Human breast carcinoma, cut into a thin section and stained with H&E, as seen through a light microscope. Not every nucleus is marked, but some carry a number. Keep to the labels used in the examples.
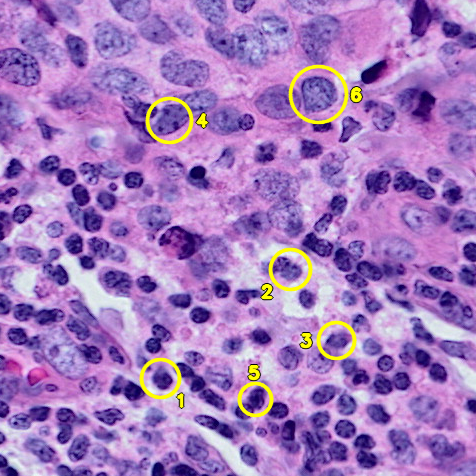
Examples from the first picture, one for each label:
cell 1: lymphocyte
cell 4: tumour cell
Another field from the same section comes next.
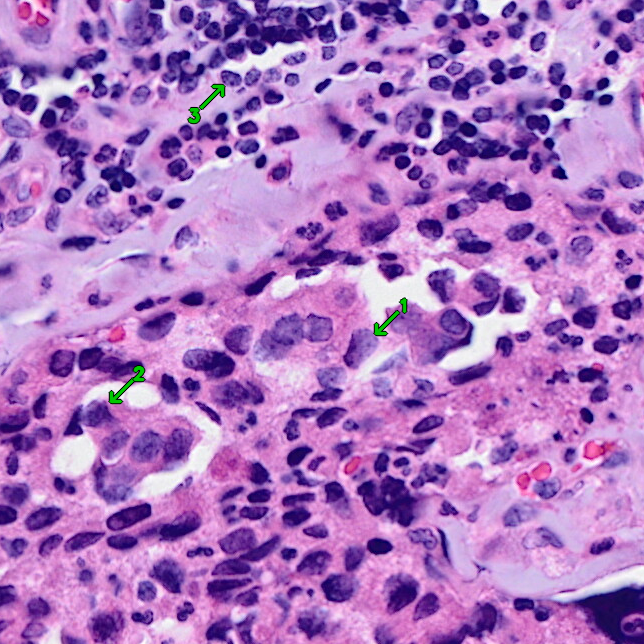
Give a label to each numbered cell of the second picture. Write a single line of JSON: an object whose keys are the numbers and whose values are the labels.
{"1": "tumour cell", "2": "tumour cell", "3": "lymphocyte"}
